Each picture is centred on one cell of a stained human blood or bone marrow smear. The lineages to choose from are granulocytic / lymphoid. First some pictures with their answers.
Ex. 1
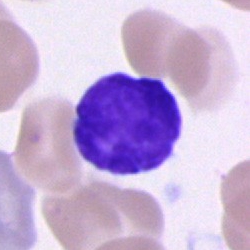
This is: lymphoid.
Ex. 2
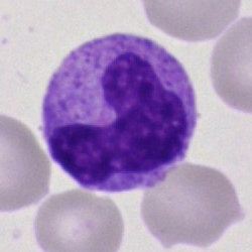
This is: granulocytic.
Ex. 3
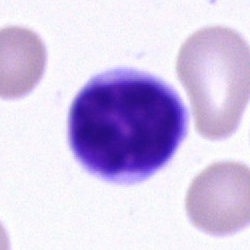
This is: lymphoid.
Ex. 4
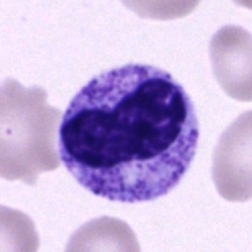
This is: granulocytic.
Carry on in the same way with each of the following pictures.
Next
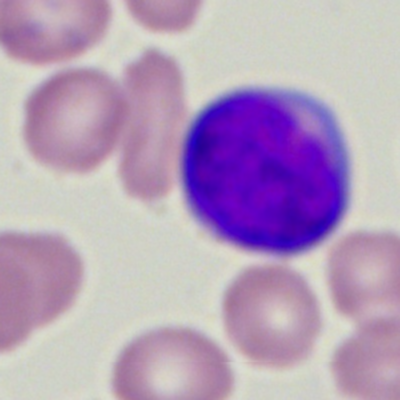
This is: lymphoid.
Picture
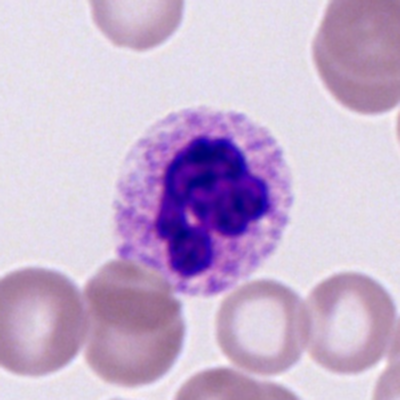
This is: granulocytic.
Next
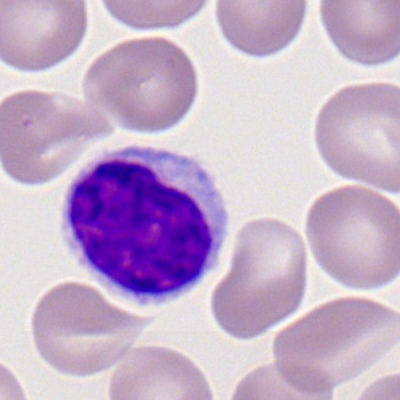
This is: lymphoid.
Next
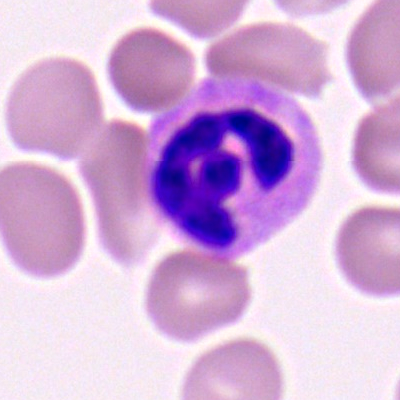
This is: granulocytic.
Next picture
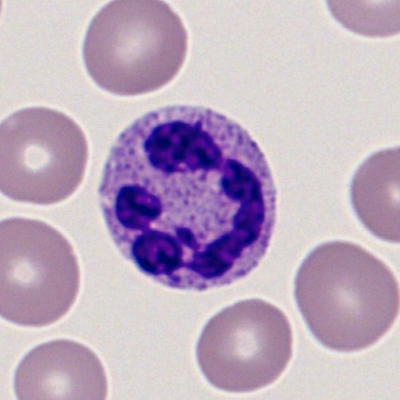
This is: granulocytic.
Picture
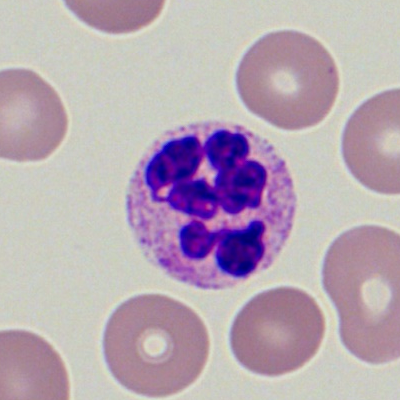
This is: granulocytic.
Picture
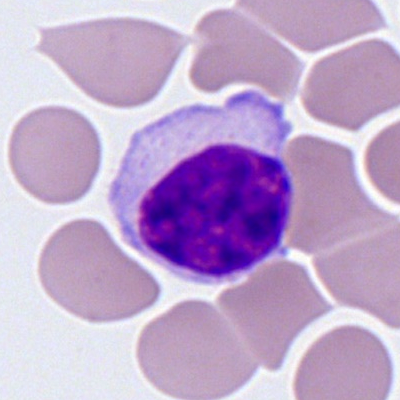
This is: lymphoid.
